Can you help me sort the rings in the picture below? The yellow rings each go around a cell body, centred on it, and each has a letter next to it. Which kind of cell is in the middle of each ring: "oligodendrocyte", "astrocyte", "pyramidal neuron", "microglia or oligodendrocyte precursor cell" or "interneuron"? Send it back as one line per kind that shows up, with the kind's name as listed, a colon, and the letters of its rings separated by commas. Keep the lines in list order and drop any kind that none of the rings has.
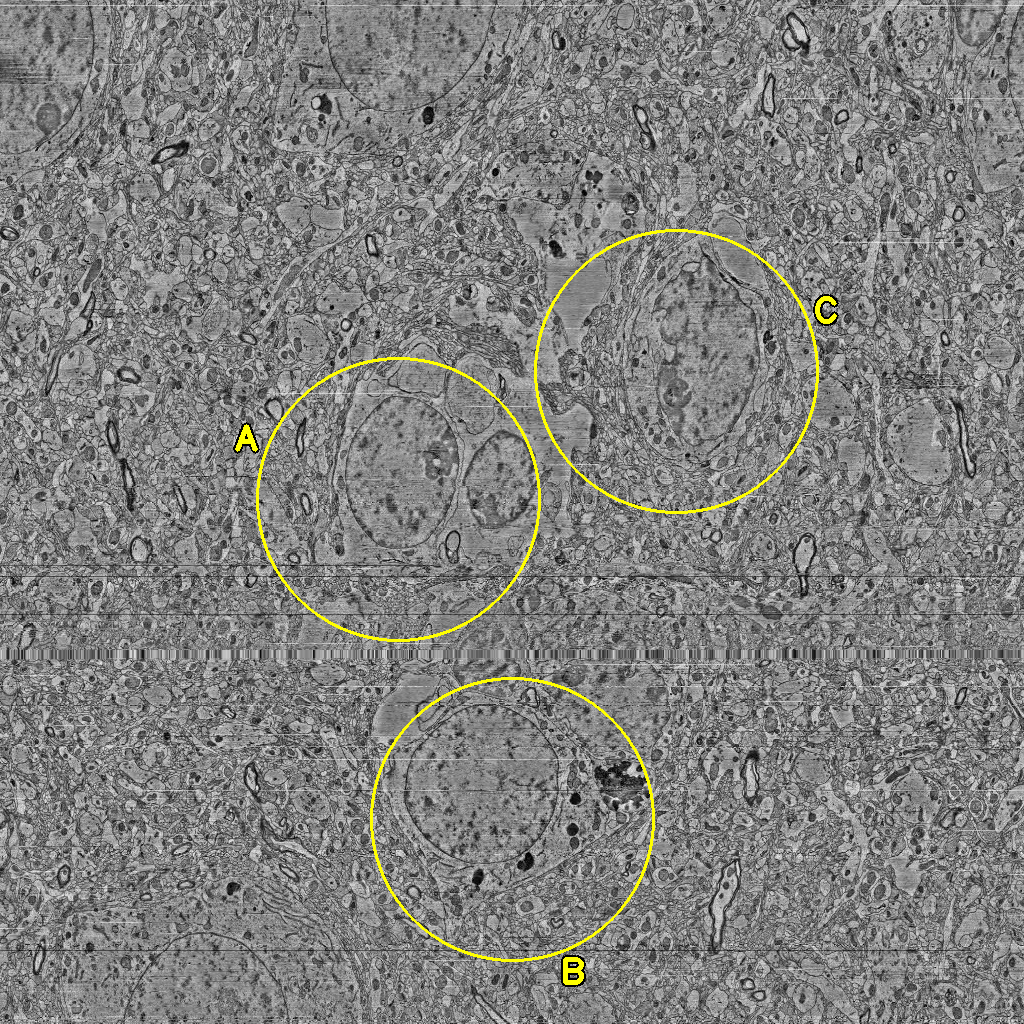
astrocyte: A
pyramidal neuron: B
interneuron: C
